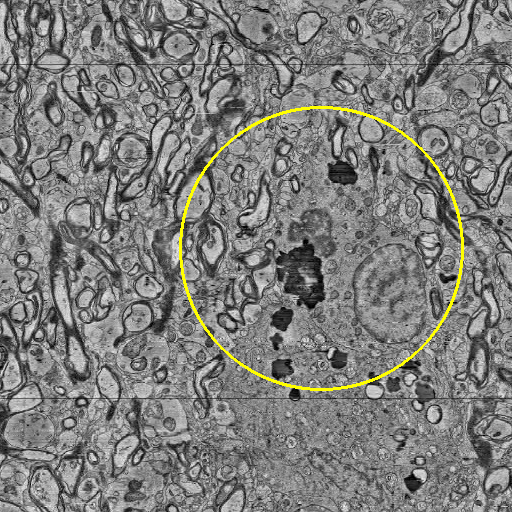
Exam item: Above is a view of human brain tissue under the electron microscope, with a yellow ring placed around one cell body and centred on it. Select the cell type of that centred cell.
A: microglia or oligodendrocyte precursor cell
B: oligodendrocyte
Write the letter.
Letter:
B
